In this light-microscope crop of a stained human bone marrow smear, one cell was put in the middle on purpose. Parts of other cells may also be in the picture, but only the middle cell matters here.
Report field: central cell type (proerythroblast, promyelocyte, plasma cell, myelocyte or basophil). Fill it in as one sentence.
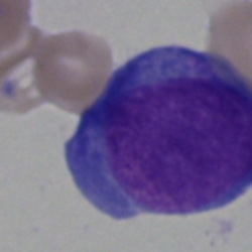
In the central position of this crop, the cell is a proerythroblast.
